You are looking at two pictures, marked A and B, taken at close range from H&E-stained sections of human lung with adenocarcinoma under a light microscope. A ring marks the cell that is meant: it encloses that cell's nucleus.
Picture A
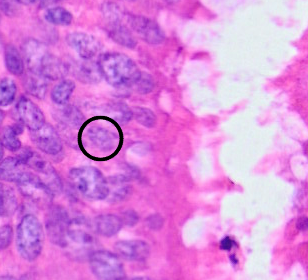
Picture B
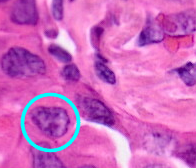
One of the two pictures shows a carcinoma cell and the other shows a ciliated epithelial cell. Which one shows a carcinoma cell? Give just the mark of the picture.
B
